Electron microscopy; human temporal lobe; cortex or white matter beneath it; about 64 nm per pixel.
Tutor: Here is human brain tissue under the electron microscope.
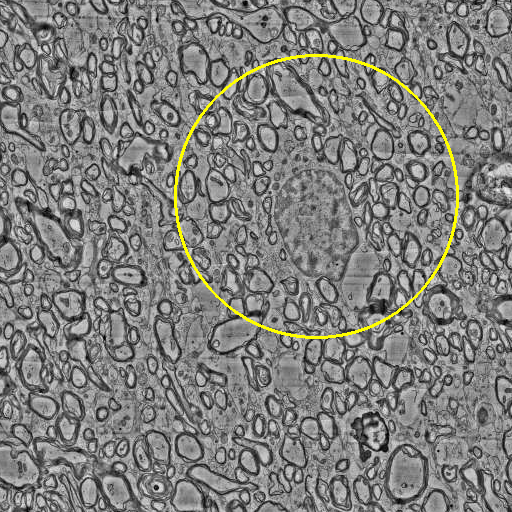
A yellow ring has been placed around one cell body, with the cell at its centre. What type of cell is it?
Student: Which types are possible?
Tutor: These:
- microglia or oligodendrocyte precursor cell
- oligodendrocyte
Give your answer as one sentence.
What the ring picks out here is an oligodendrocyte.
